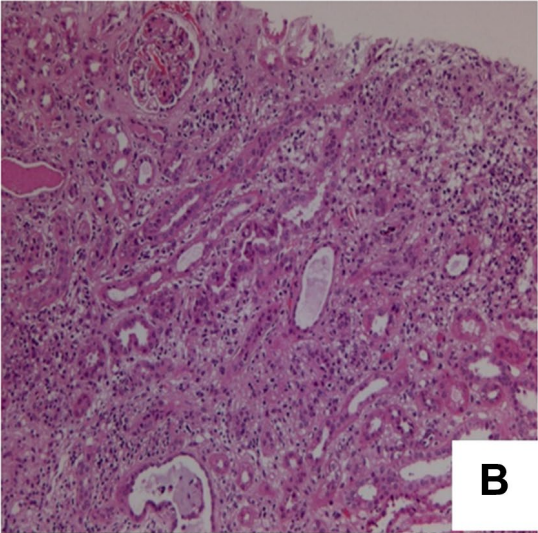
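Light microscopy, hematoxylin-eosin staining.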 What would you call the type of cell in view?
interstitial inflammatory cells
